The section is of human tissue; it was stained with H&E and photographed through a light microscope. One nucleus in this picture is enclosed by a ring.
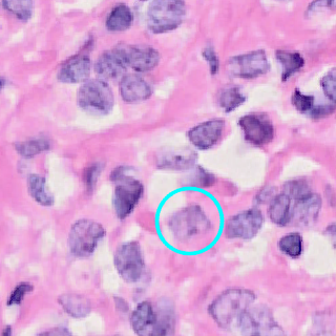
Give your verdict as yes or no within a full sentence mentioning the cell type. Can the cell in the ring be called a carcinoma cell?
Yes, correct on this one: the cell in the ring is a carcinoma cell.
